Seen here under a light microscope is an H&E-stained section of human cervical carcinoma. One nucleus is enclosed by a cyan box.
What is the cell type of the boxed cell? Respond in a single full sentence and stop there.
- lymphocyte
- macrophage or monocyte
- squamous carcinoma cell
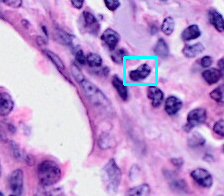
With respect to cell type, the boxed cell is a lymphocyte.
